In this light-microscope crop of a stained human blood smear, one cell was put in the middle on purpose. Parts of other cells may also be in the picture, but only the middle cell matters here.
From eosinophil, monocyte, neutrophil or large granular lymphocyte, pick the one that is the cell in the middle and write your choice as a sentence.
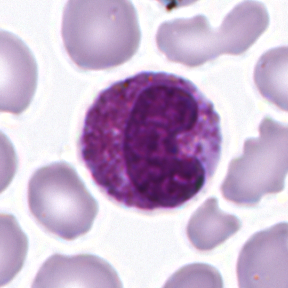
Of the cells in this crop, the central one is an eosinophil.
